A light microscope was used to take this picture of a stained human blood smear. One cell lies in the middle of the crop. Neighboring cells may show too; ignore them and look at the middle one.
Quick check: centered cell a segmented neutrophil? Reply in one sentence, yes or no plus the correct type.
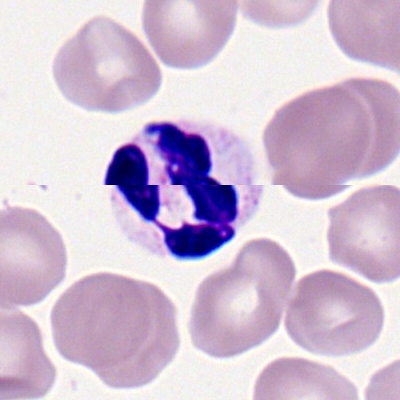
Yes, the cell at the very centre of the crop is a segmented neutrophil.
